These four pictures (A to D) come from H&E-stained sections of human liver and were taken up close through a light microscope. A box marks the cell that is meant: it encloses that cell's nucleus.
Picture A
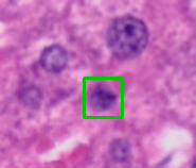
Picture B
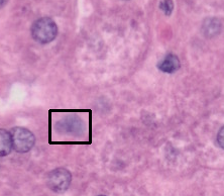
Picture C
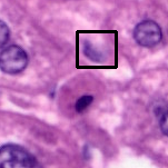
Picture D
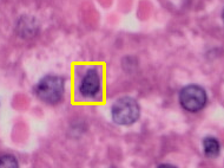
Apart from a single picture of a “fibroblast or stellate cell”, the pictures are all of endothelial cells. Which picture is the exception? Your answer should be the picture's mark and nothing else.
D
